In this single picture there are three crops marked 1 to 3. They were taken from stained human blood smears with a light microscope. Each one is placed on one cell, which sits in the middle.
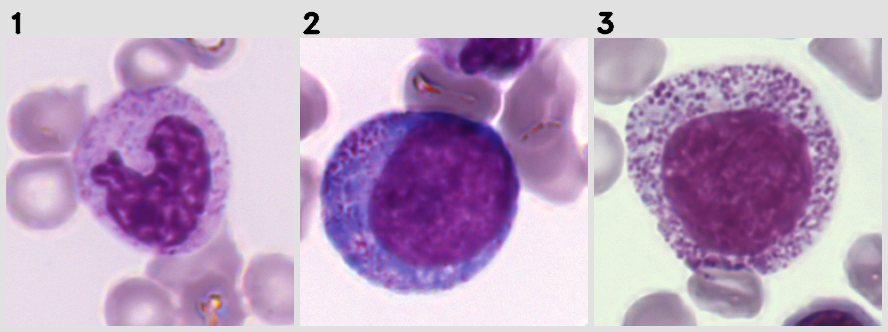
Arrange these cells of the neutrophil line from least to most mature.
2, 3, 1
